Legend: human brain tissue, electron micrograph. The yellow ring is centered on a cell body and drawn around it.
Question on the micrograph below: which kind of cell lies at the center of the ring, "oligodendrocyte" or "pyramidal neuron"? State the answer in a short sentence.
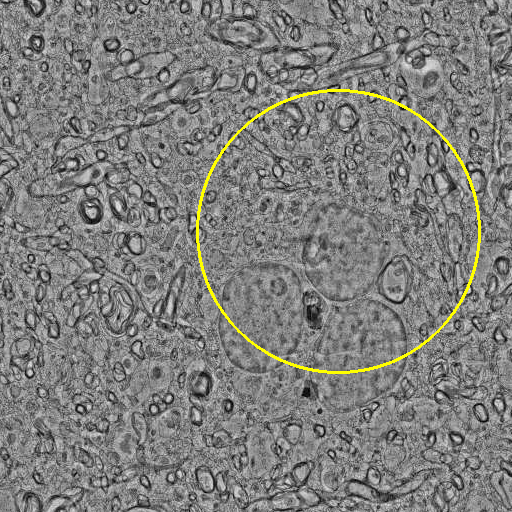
At the center of the ring lies an oligodendrocyte.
